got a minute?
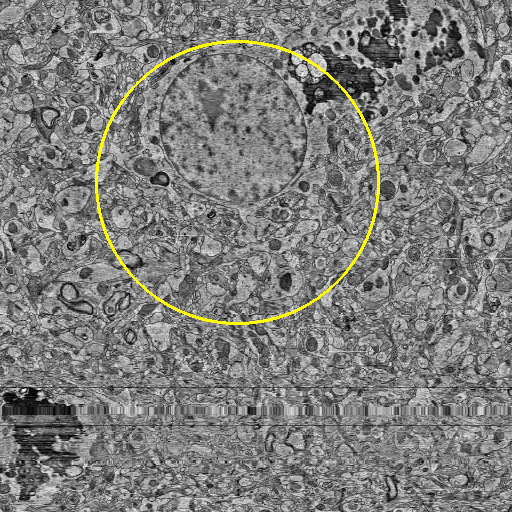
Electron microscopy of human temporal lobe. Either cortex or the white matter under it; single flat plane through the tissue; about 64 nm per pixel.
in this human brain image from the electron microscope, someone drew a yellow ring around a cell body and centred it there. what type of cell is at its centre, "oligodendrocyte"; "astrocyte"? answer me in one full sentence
It's an astrocyte at the middle of that yellow ring in the shot.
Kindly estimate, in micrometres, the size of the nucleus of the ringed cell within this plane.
About 10 micrometres across, as seen in this plane.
